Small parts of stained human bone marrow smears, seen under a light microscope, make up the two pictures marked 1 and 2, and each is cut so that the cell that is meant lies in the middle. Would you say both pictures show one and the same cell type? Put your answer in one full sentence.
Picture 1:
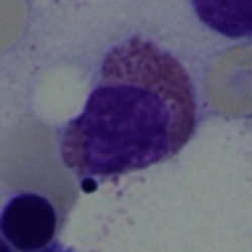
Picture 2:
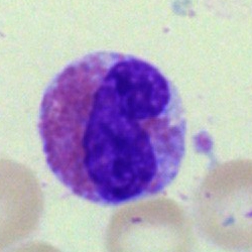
Yes, both cells are eosinophils.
